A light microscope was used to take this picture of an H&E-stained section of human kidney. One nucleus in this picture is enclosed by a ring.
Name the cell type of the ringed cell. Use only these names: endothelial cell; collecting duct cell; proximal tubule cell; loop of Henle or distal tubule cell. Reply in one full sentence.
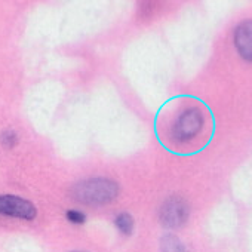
The cell type represented by the ringed cell is that of a proximal tubule cell.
